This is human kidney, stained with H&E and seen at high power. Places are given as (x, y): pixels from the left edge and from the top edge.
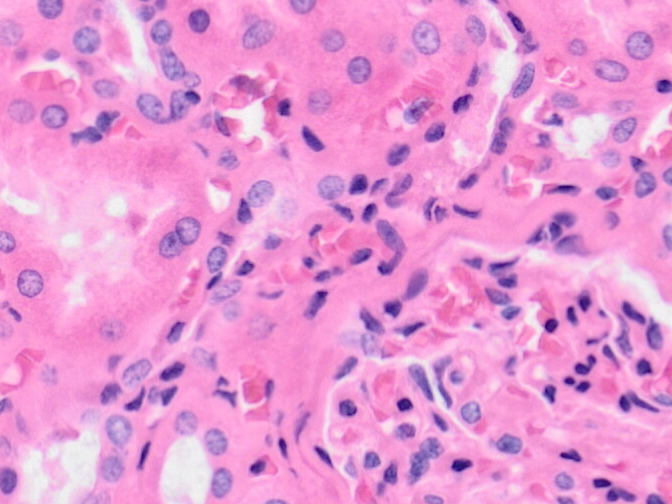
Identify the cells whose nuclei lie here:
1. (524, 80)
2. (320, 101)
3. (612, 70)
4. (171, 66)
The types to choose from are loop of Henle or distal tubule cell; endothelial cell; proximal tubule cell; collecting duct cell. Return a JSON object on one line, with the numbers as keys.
{"1": "collecting duct cell", "2": "proximal tubule cell", "3": "proximal tubule cell", "4": "collecting duct cell"}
